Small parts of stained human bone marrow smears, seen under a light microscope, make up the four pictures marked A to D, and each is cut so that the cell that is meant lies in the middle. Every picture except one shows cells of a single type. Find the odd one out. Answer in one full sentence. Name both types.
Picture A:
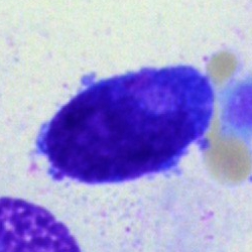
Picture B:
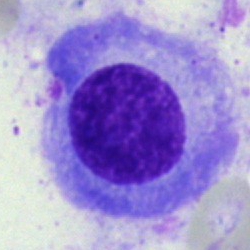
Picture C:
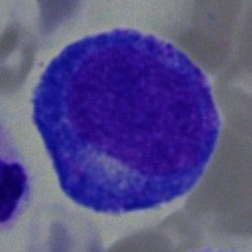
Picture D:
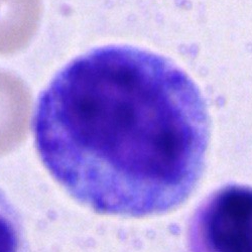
Picture B differs, because its cell is a plasma cell and the rest are promyelocytes.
